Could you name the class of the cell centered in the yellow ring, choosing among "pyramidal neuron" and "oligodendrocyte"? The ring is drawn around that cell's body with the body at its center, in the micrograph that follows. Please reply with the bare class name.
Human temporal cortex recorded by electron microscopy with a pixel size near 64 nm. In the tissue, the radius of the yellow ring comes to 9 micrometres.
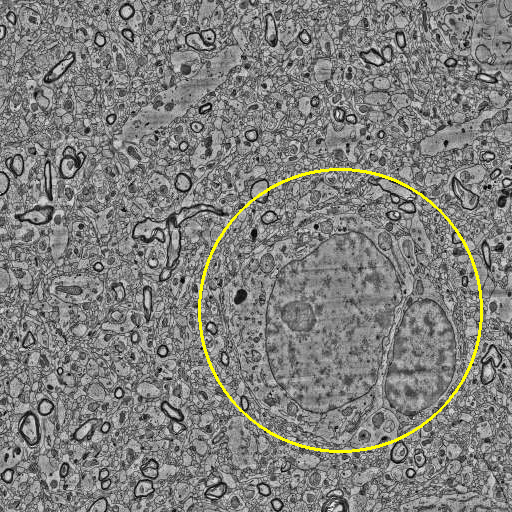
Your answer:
pyramidal neuron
